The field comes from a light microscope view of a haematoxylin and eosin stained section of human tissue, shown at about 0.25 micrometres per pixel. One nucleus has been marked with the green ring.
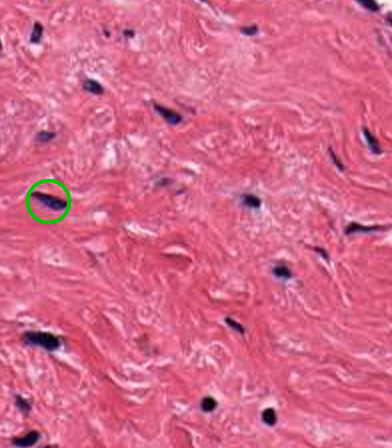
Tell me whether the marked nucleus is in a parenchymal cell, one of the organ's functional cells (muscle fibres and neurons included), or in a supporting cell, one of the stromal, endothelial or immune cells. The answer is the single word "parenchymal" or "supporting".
supporting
